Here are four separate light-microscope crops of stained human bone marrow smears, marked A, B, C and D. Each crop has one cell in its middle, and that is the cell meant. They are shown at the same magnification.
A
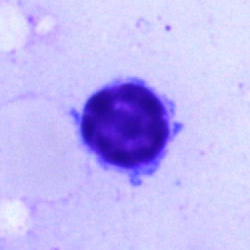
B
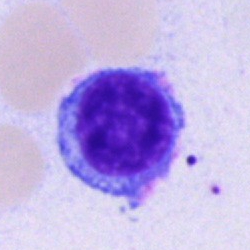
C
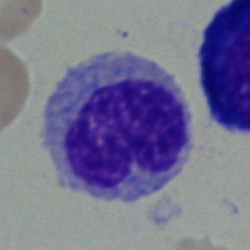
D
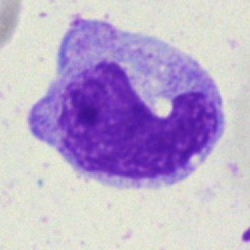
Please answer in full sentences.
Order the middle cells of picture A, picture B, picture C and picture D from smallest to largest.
Going up, they run A, B, C, D.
